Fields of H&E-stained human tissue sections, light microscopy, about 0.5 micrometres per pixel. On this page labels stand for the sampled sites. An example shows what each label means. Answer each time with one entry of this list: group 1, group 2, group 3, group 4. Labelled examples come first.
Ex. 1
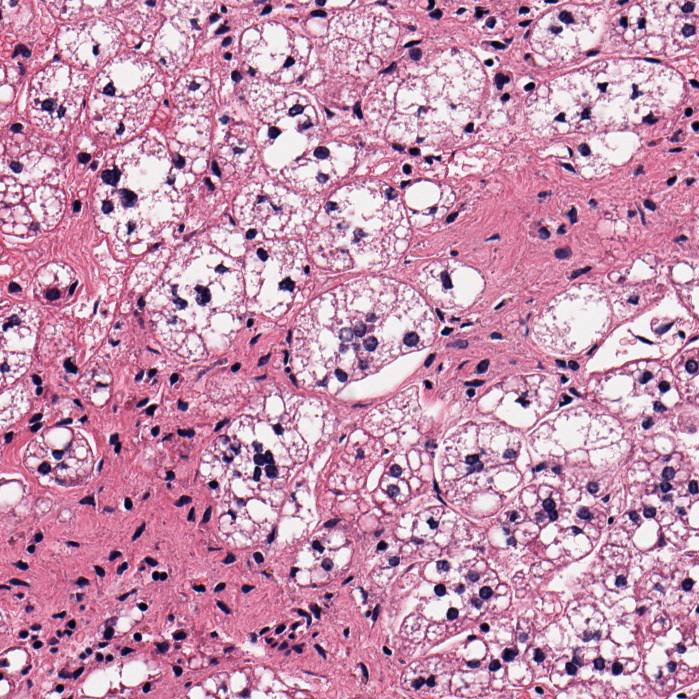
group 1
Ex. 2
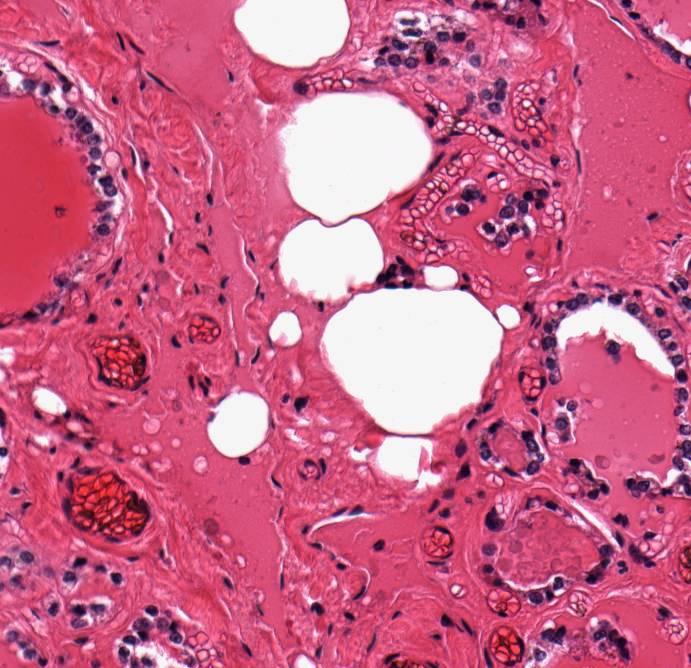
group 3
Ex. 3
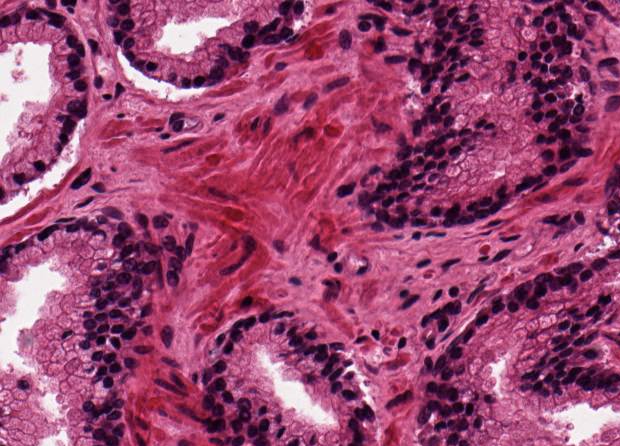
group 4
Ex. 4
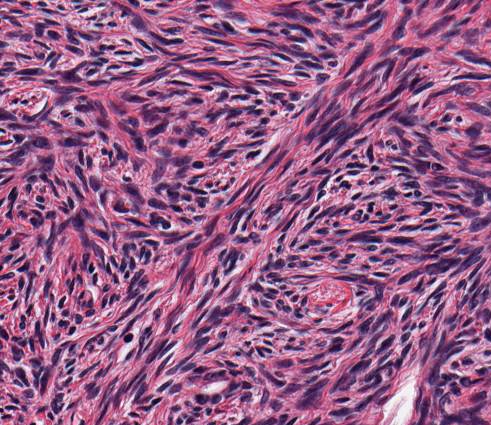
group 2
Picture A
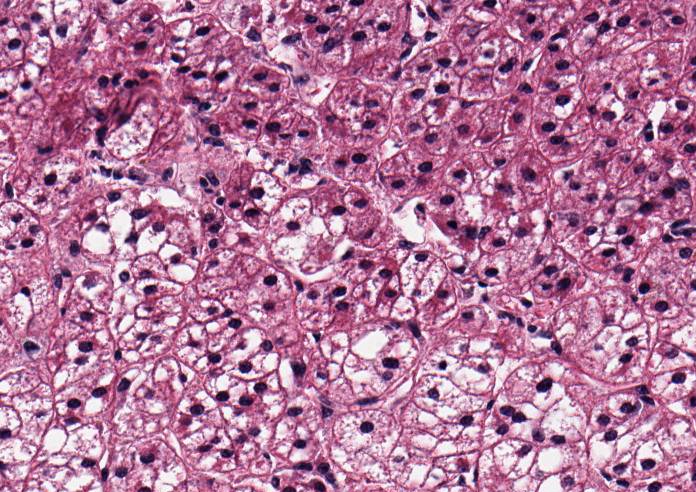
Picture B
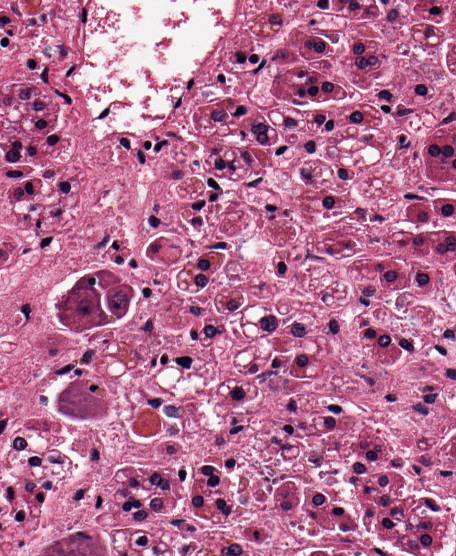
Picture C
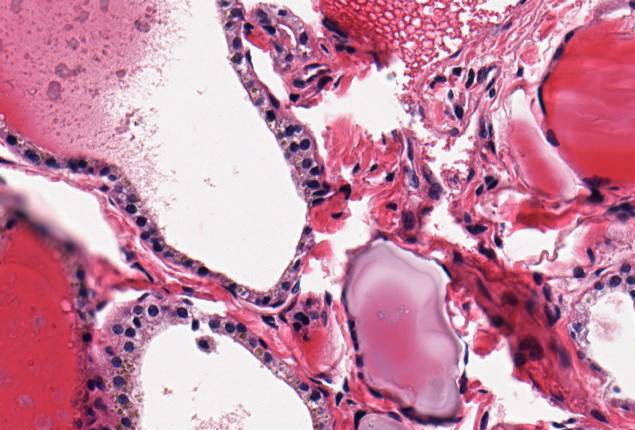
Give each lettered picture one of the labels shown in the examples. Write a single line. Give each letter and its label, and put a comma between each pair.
A group 1, B group 1, C group 3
